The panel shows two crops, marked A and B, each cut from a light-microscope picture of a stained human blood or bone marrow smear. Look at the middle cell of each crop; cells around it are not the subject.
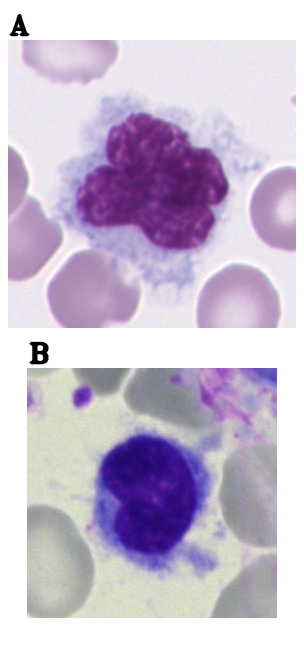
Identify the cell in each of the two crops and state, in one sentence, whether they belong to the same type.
Yes, the middle cells in both crops are indeed hairy cells.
